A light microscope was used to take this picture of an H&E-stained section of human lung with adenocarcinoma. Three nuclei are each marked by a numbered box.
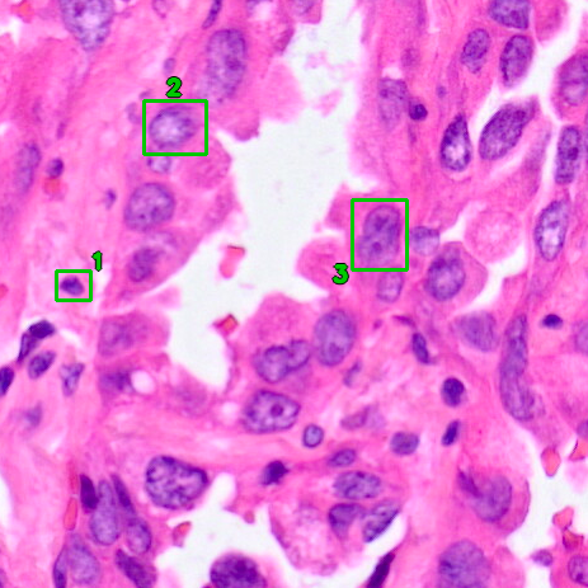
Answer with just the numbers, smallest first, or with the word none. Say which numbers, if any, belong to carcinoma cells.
2, 3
